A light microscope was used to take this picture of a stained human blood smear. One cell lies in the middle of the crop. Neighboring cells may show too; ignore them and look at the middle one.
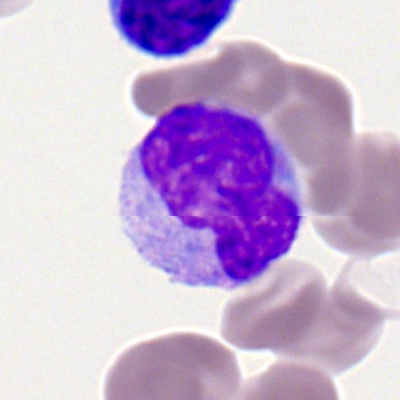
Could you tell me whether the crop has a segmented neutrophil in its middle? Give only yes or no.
no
